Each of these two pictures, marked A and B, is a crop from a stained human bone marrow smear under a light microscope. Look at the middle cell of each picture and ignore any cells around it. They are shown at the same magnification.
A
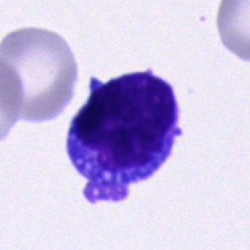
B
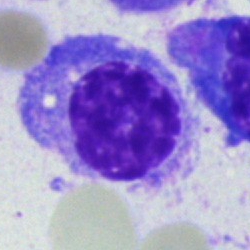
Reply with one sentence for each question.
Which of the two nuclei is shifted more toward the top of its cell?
In crop A the nucleus is shifted more toward the top.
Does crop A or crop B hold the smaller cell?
Crop A holds the smaller cell, since the cell in crop B covers about 2 times as much area.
